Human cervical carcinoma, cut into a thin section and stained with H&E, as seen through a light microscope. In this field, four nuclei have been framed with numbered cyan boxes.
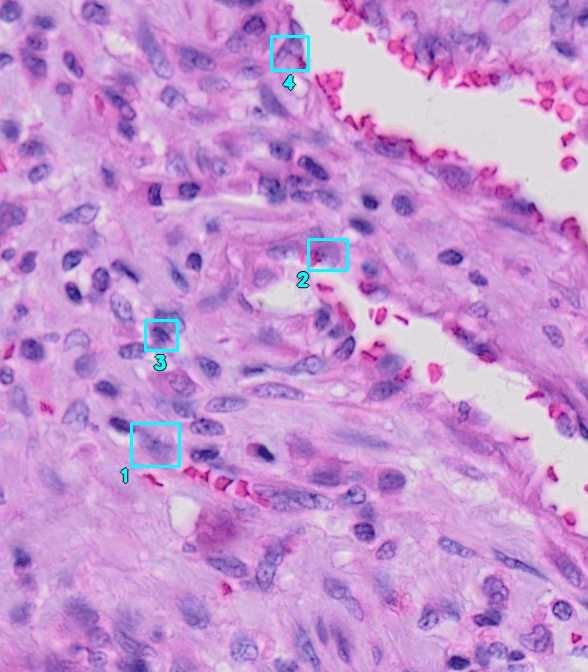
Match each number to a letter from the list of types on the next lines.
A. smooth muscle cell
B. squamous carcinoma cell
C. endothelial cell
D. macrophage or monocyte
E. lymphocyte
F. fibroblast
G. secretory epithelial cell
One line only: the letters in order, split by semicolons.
C; C; E; C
